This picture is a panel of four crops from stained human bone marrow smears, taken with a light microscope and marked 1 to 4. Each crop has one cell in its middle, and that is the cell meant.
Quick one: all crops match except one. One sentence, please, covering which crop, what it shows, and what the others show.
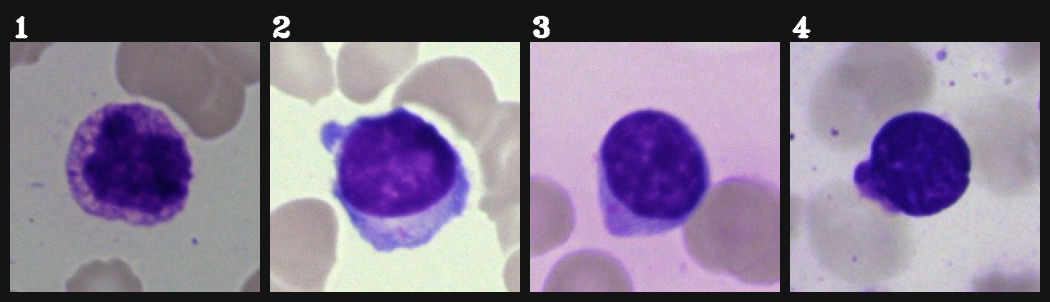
All the crops contain lymphocytes save crop 1, where there is a basophil.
